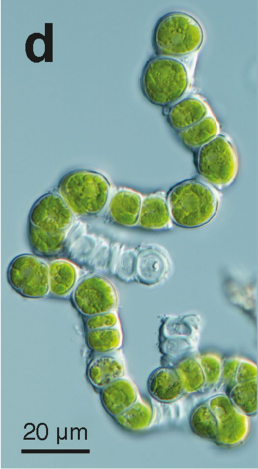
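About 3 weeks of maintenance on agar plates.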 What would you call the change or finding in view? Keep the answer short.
Disintegrating filaments.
